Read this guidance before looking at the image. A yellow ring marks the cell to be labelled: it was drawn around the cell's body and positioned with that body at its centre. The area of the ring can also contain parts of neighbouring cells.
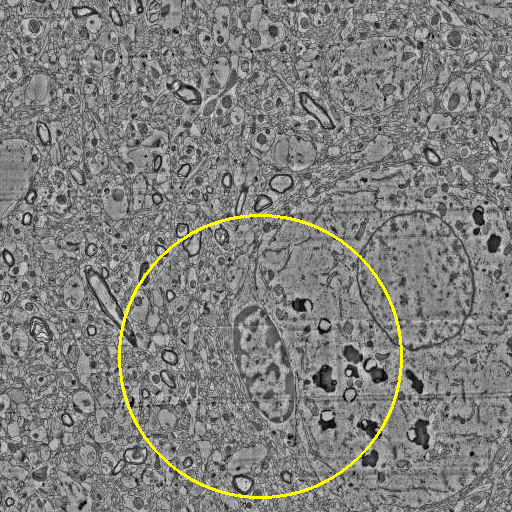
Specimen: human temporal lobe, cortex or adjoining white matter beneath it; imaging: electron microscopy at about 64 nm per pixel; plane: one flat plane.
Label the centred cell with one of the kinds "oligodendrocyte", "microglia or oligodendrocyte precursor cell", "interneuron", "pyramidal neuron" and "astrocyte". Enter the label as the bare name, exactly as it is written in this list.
microglia or oligodendrocyte precursor cell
